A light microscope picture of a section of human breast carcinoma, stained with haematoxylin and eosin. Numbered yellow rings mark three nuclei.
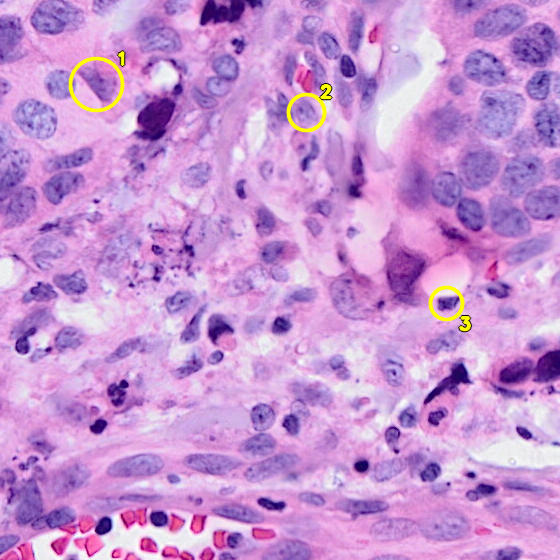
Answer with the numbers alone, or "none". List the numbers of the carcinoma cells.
1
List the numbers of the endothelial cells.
2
